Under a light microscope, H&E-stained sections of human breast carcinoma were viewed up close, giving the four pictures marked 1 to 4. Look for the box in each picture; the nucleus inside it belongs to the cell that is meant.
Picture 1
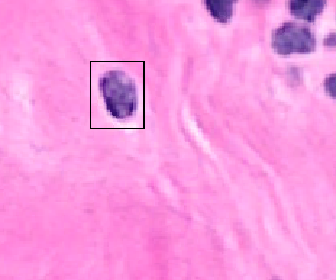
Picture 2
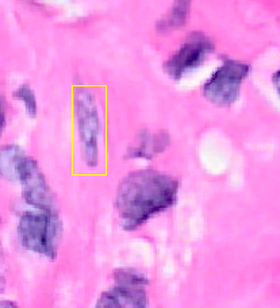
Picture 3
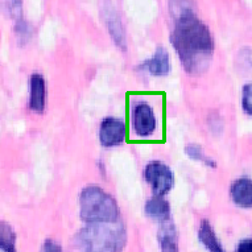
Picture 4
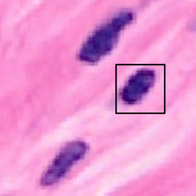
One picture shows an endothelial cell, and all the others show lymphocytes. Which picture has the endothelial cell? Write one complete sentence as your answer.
The picture with the endothelial cell is 2.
